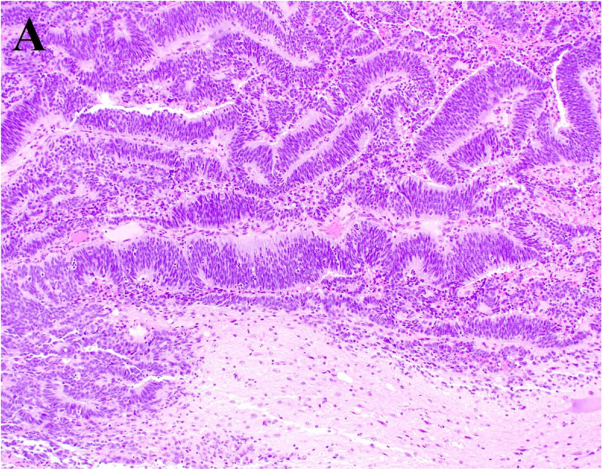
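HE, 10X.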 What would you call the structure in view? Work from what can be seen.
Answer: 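Long ribbons of tightly packed cells with elongated nuclei at several levels. The nuclei stand perpendicular to the pale stroma between the ribbons. The answer: rowing and pseudostratified patterns.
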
